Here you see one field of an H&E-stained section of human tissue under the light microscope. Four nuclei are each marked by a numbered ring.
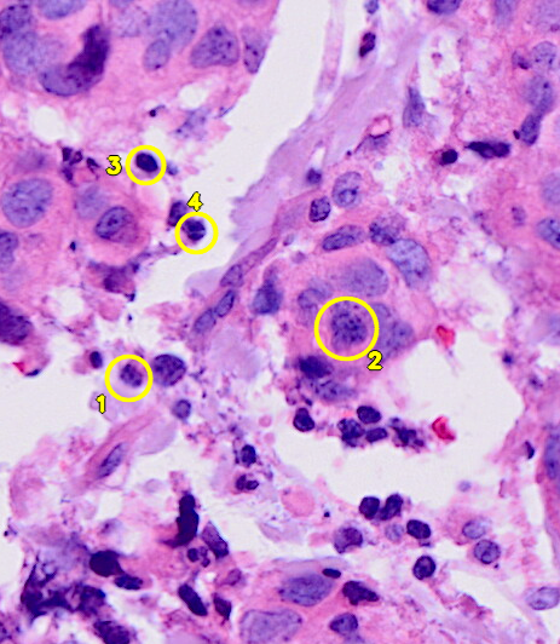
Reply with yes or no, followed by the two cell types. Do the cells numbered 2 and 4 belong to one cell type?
No, cell 2 is a carcinoma cell, while a lymphocyte is what cell 4 is.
